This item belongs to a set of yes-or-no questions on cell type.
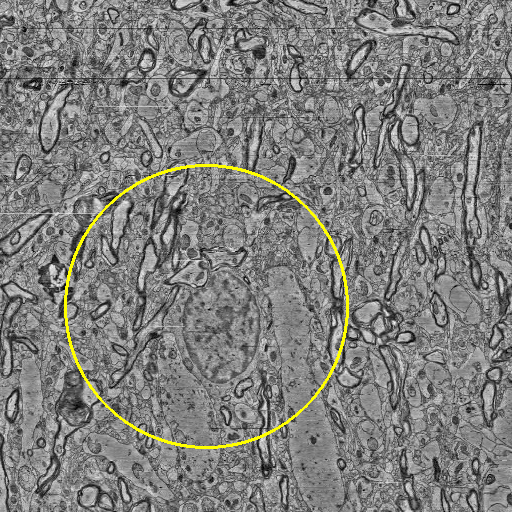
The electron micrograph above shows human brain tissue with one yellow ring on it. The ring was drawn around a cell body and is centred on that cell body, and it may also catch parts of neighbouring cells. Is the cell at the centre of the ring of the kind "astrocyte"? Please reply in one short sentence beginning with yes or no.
No, that cell is of another kind.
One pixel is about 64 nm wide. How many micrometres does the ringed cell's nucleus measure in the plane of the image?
The nucleus comes to roughly 7 by 5 micrometres in this plane.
